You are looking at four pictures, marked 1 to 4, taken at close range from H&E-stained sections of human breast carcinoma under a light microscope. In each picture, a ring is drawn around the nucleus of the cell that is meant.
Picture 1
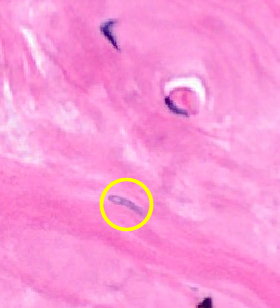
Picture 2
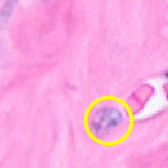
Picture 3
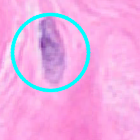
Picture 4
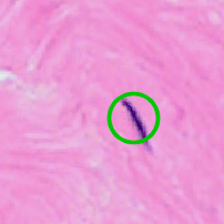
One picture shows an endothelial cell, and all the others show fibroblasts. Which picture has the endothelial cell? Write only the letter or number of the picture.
2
